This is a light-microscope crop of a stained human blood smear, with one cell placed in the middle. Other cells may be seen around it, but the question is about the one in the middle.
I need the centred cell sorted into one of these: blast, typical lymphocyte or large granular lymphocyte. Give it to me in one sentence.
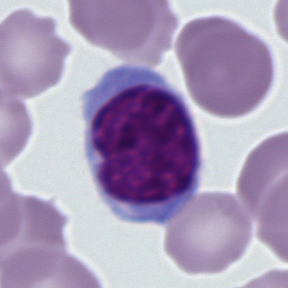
Positioned in the middle of the crop is a typical lymphocyte.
